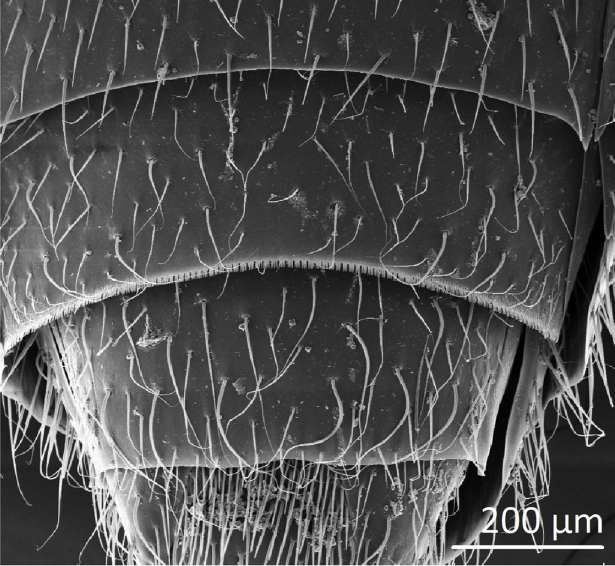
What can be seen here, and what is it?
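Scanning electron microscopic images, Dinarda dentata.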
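Dorsal view of the hind part of the abdomen with overlapping tergites. The posterior rim of the middle tergite bears a fine serrate fringe, while the rims of the other plates are smooth.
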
